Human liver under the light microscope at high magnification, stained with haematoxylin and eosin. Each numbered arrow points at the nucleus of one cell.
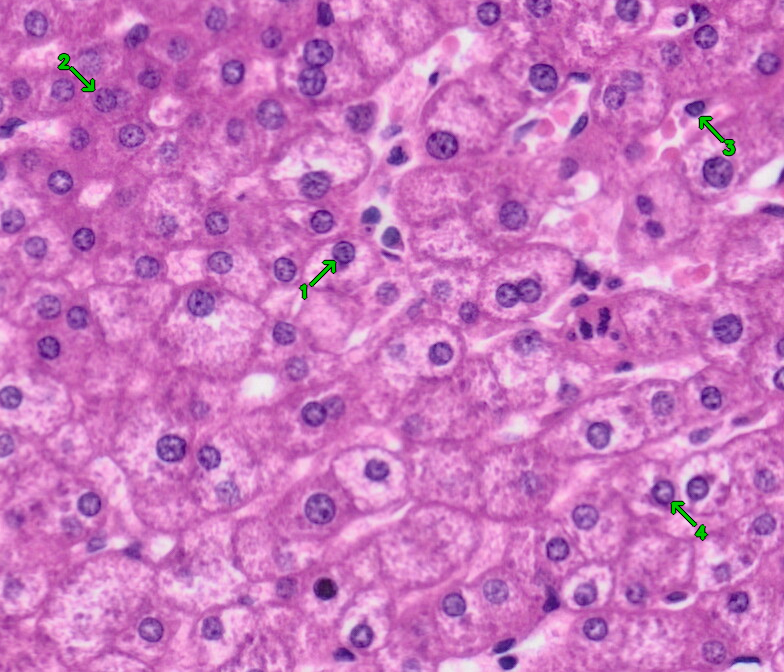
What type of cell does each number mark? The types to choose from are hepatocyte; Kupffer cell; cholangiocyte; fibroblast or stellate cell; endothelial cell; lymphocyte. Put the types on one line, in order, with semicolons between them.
hepatocyte; hepatocyte; Kupffer cell; hepatocyte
